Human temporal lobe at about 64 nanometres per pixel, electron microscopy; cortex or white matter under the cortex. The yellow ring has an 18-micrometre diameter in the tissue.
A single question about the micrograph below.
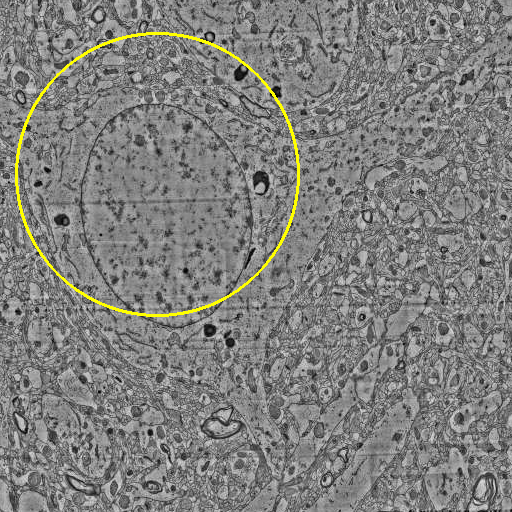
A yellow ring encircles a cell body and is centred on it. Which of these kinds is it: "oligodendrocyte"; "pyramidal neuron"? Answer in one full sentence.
The cell body at the centre of the yellow ring belongs to a pyramidal neuron.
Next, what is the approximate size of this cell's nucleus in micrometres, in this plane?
Approximately 14 x 11 micrometres in this plane.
